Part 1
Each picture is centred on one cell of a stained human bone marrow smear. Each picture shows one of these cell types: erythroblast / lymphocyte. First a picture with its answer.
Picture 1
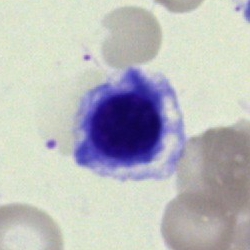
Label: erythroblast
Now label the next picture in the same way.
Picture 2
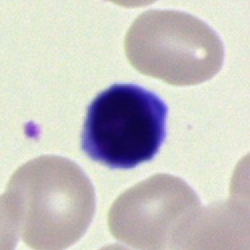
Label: lymphocyte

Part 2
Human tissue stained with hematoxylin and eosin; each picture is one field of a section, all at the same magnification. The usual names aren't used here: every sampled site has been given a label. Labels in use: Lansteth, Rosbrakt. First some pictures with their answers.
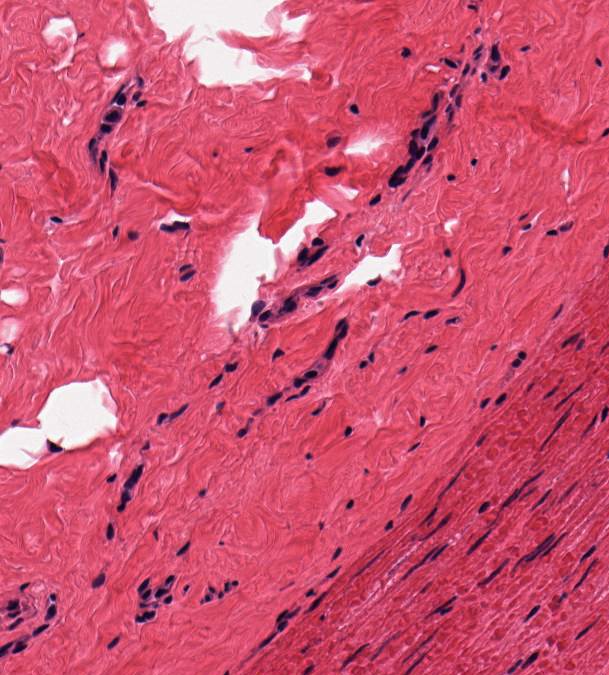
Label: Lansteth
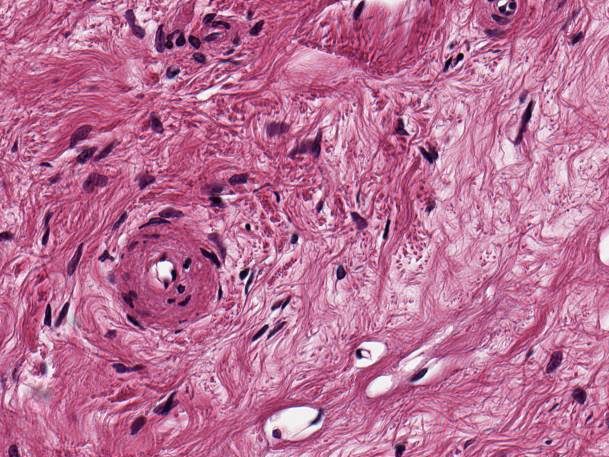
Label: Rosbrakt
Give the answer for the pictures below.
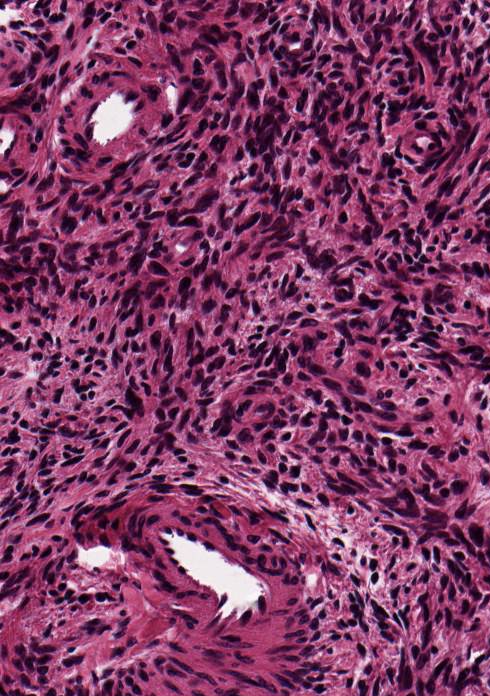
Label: Rosbrakt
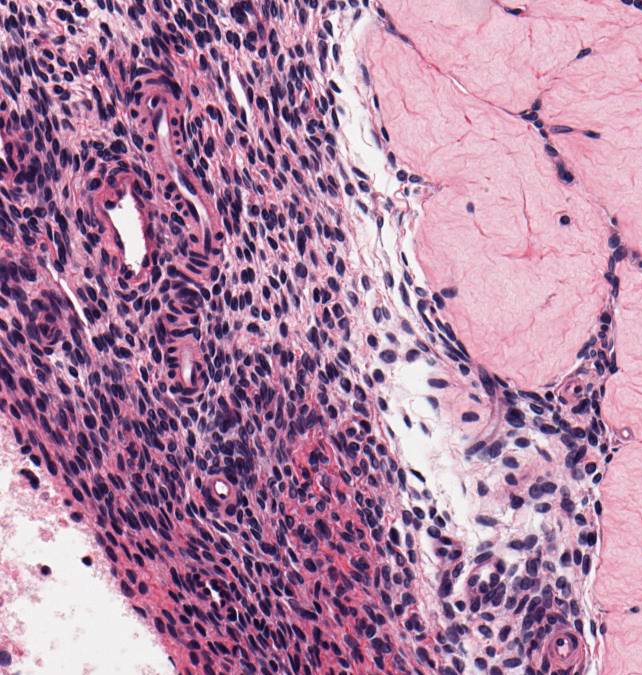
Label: Rosbrakt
